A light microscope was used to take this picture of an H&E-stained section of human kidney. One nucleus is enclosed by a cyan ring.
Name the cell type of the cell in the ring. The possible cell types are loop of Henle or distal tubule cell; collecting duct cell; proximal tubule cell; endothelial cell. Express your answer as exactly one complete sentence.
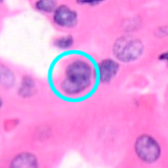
Among the cells in this section, the cell in the ring is a collecting duct cell.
